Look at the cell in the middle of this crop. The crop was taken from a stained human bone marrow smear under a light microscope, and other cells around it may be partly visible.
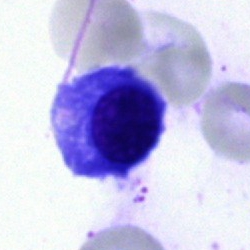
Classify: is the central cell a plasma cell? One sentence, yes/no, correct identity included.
Yes, the cell at the midpoint of the crop is a plasma cell.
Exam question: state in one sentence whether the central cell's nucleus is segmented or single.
Please observe that the nucleus consists of one compact round, oval or kidney-shaped mass.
